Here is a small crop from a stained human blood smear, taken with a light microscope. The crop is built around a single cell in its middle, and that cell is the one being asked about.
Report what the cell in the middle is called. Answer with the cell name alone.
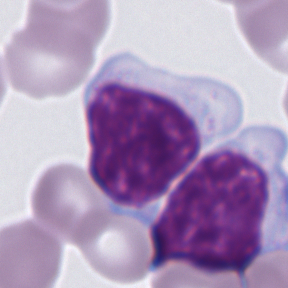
large granular lymphocyte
